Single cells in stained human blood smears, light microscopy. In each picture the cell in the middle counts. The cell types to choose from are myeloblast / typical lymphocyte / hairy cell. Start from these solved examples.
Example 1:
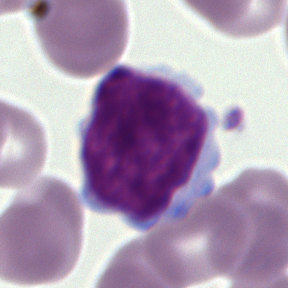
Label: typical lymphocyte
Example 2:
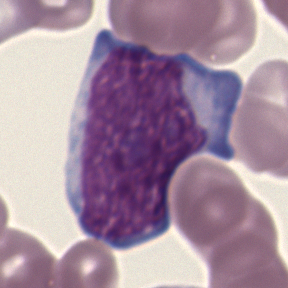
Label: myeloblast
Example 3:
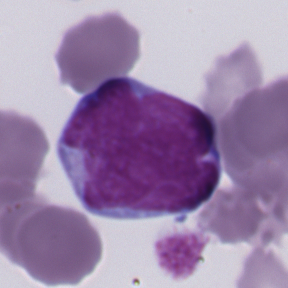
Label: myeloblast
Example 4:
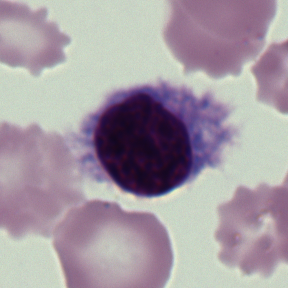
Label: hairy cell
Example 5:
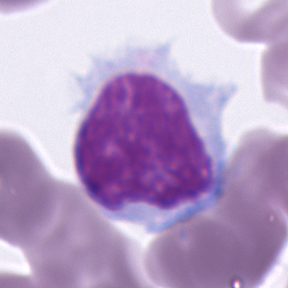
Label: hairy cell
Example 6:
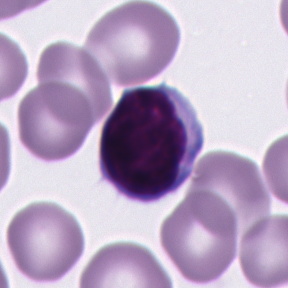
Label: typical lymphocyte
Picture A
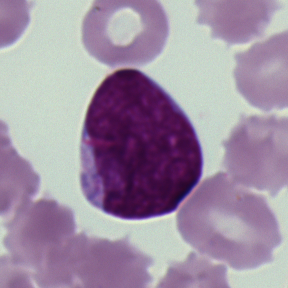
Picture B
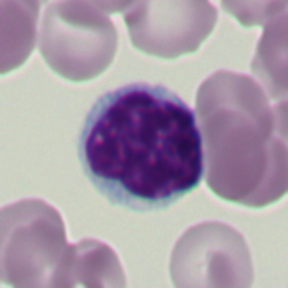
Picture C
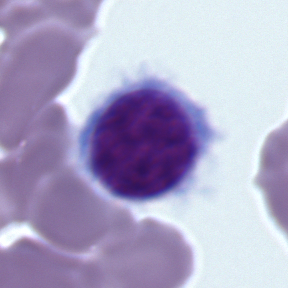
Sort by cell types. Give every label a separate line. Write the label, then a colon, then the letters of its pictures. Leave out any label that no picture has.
myeloblast: A
typical lymphocyte: B
hairy cell: C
